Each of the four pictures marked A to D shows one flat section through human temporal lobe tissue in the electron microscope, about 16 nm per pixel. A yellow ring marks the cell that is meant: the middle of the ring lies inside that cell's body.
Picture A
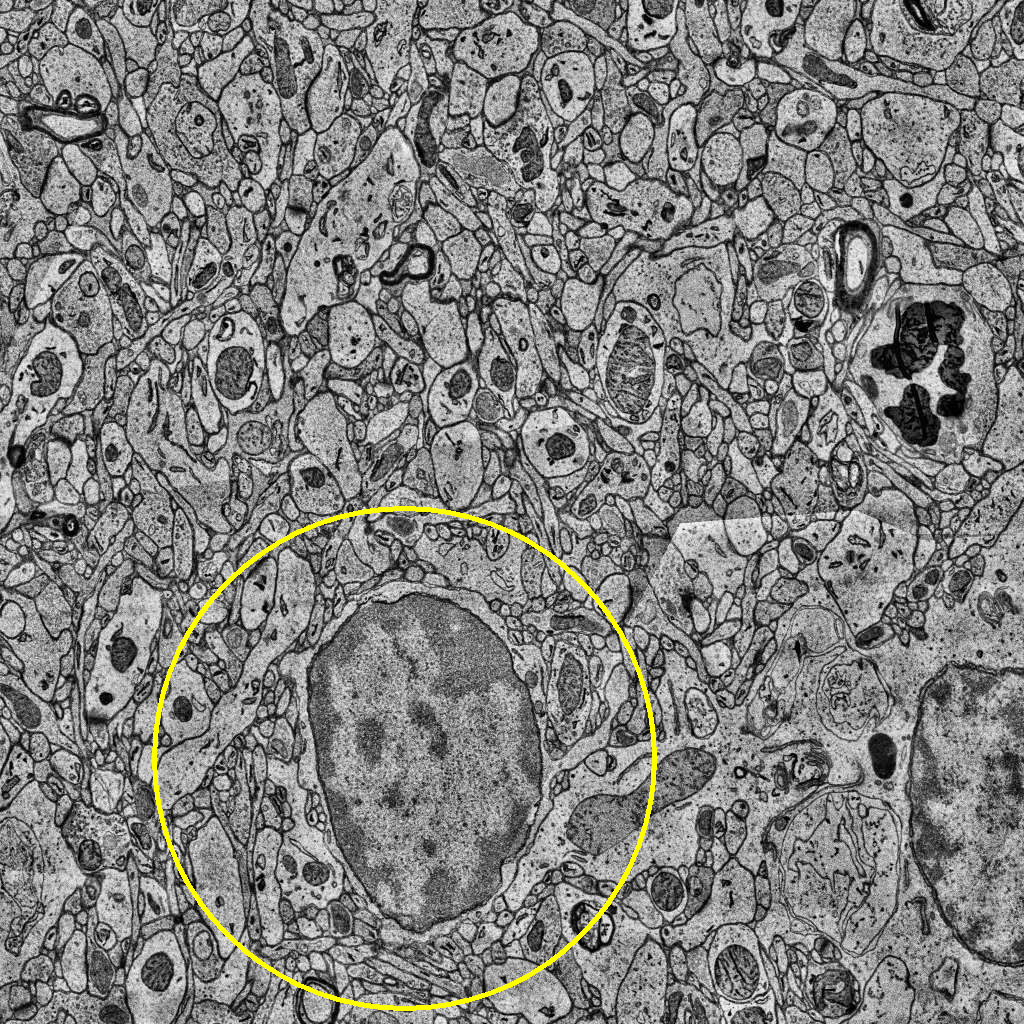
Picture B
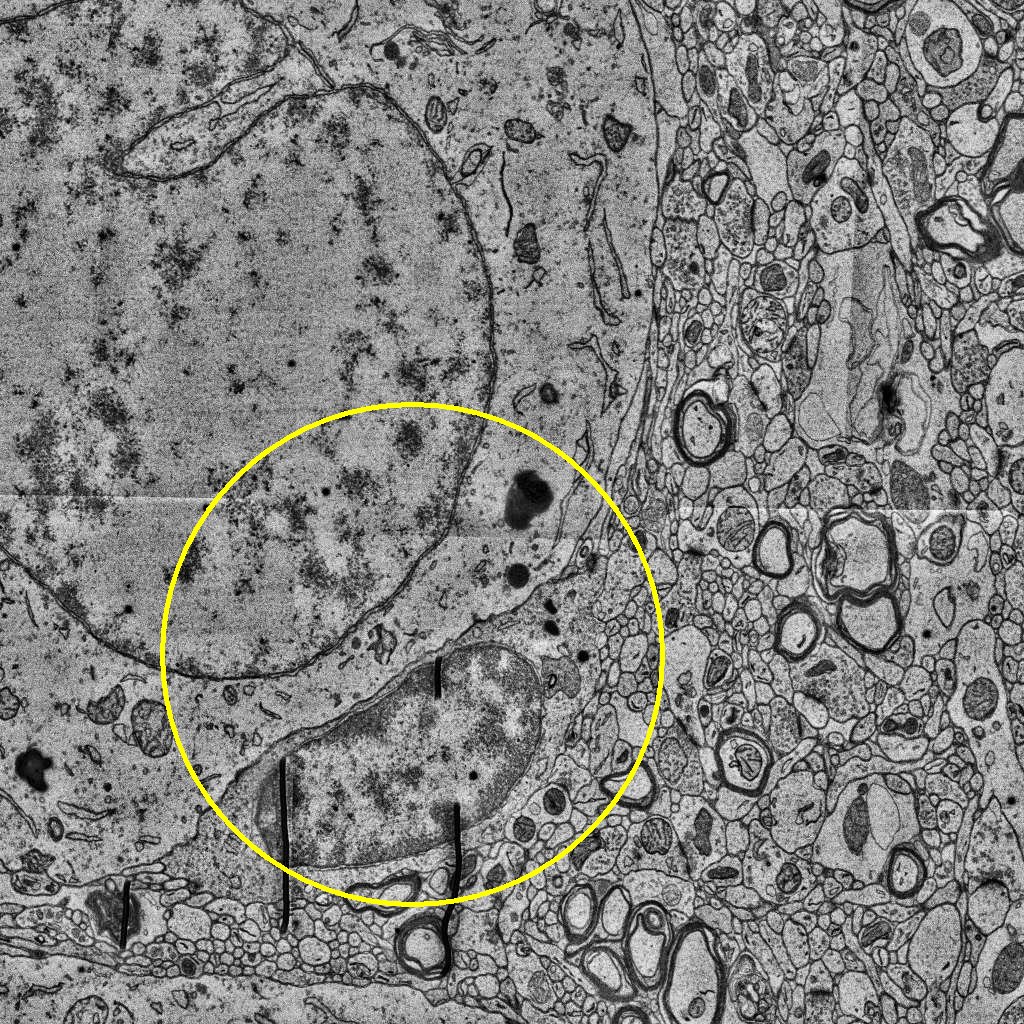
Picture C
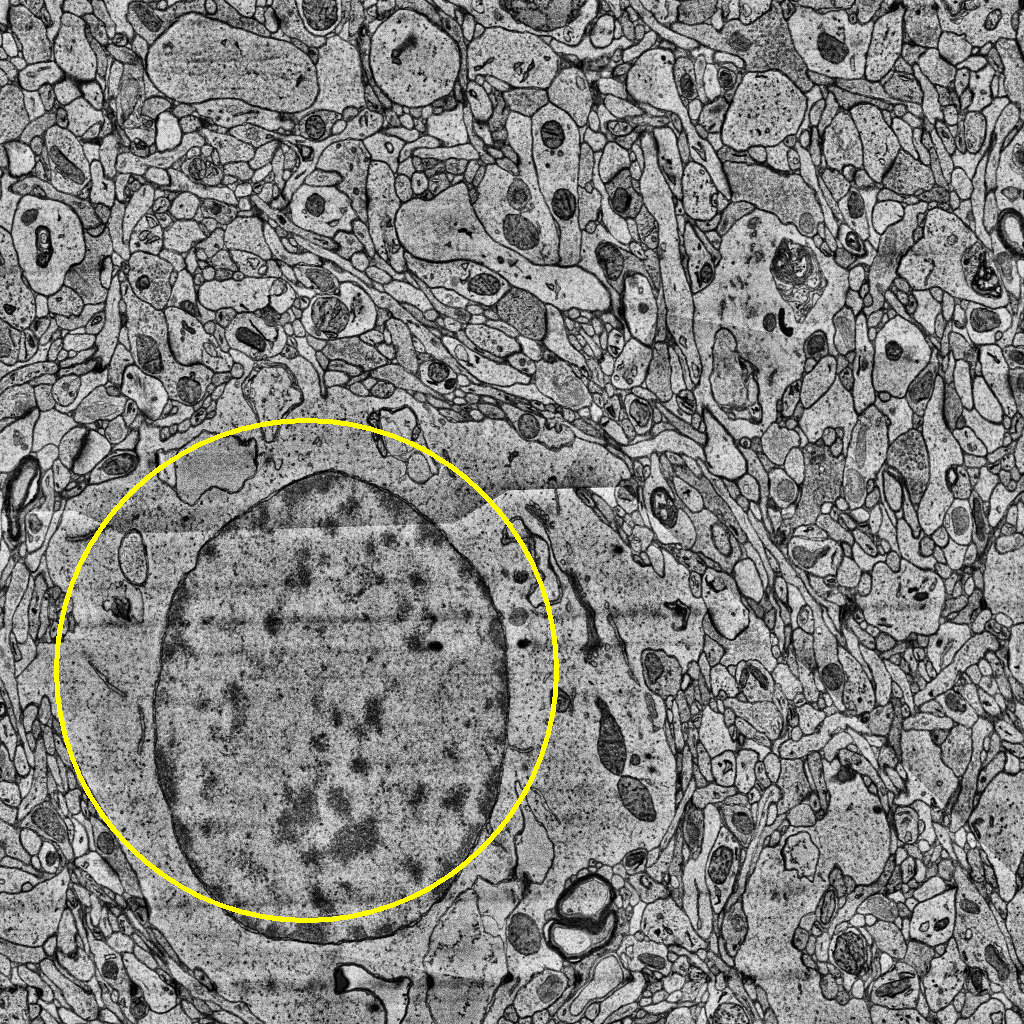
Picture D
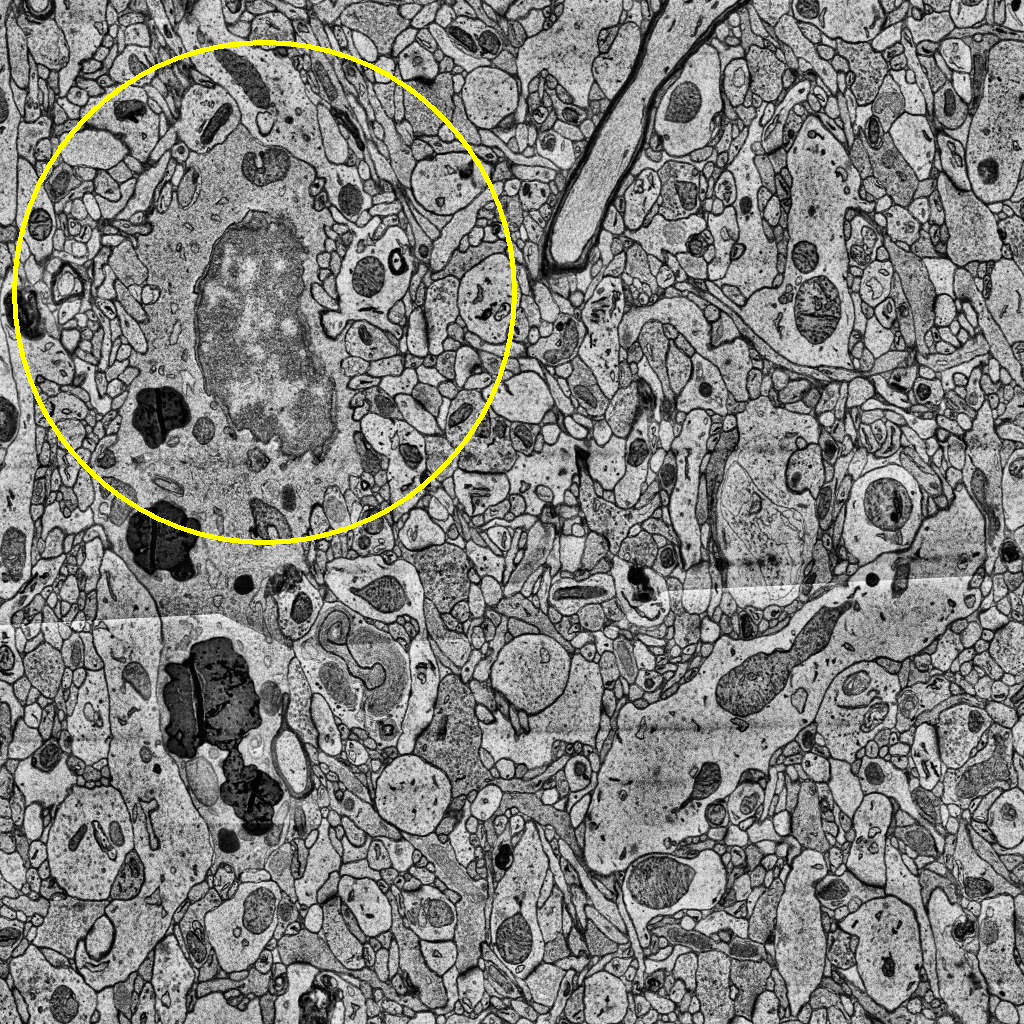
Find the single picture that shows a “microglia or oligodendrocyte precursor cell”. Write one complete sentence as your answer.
The picture with the “microglia or oligodendrocyte precursor cell” is A.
